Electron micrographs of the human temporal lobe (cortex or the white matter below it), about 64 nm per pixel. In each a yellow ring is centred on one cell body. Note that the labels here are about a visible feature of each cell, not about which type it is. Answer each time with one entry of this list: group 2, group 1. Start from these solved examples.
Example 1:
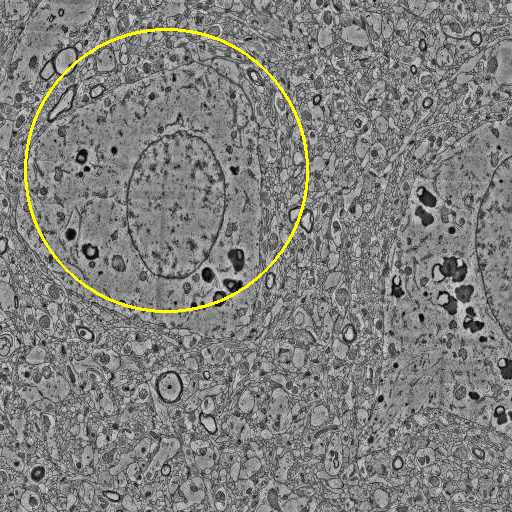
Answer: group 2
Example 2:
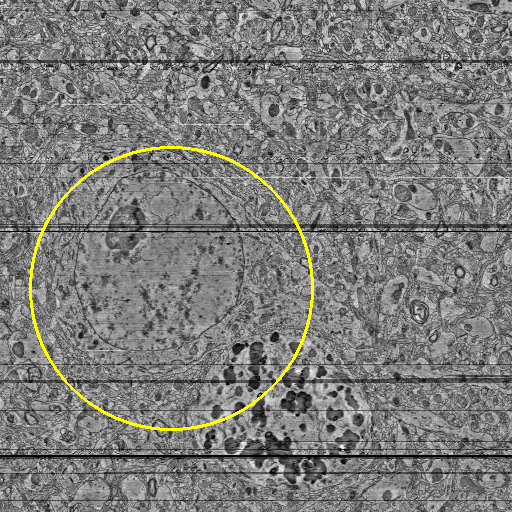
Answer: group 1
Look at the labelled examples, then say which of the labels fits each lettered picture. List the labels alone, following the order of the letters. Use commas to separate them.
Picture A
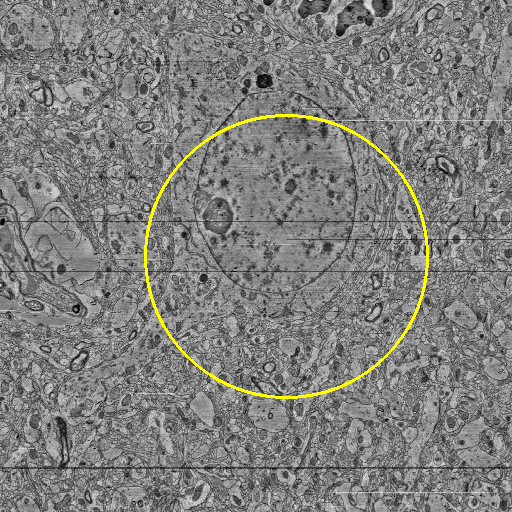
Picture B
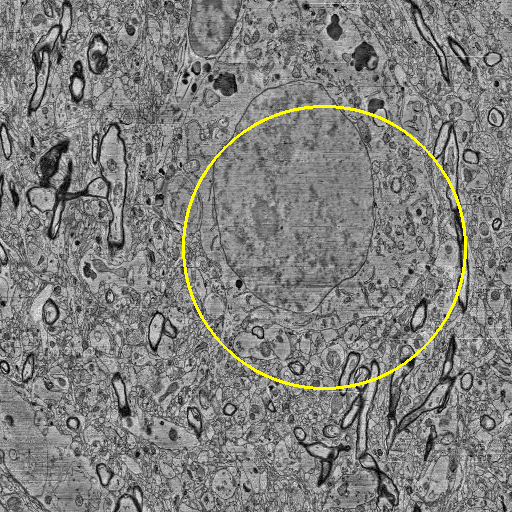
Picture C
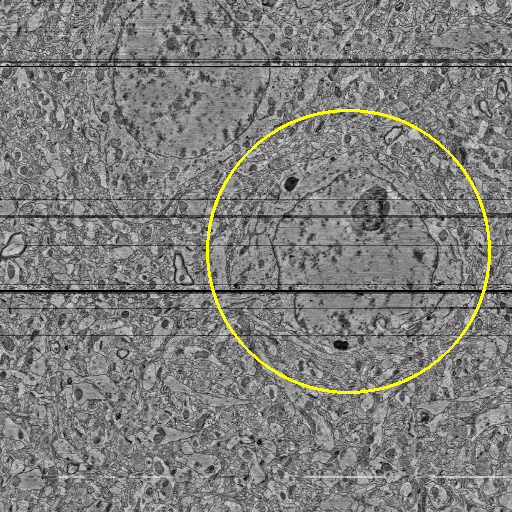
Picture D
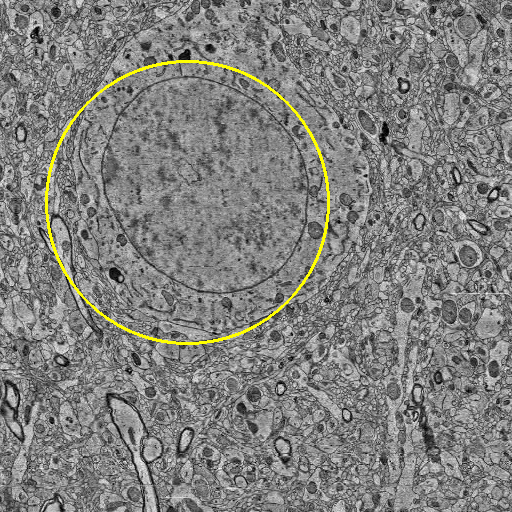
group 1, group 2, group 1, group 2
